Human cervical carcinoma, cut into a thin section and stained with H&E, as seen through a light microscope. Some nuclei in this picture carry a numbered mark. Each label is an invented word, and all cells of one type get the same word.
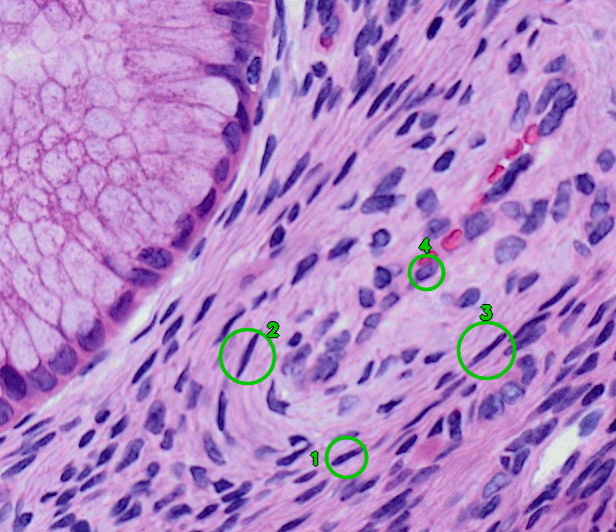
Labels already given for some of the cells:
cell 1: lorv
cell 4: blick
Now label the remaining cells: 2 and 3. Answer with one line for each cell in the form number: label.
2: lorv
3: lorv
